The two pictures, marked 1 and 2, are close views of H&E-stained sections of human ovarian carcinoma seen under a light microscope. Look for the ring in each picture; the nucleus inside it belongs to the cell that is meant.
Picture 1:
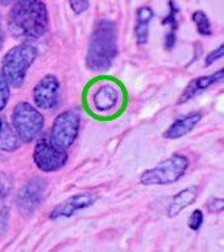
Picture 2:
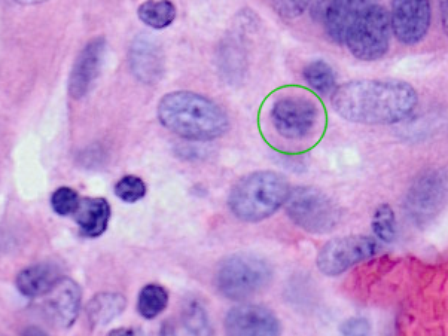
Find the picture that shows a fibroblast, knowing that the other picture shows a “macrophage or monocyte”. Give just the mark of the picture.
1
